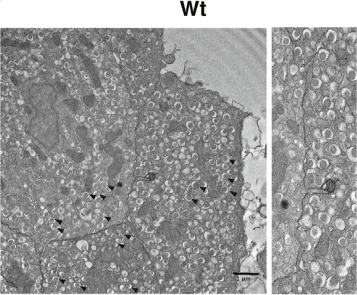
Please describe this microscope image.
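Transmission electron micrograph of pancreatic islet β-cells whose cytoplasm is packed with numerous round secretory granules, many with a dense core inside a pale halo. Adjacent cells abut closely, with a thin intercellular line visible in the zoomed strip.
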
